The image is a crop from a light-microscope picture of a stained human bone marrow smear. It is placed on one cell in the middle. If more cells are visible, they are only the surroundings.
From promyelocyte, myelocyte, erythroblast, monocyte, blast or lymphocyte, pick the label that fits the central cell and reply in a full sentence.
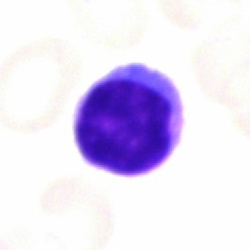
To answer, the cell in the center of the crop is a lymphocyte.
